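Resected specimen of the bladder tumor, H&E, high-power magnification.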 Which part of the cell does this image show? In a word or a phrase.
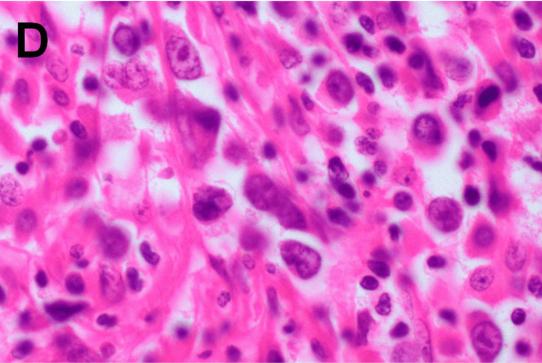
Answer: Prominent nucleoli.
